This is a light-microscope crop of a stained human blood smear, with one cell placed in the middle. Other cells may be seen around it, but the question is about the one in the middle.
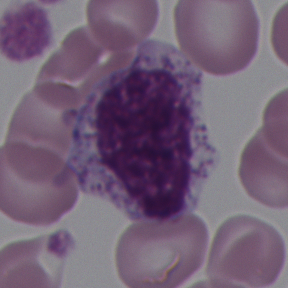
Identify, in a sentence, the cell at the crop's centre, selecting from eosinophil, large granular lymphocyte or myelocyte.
Present in the middle of the crop is a myelocyte.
